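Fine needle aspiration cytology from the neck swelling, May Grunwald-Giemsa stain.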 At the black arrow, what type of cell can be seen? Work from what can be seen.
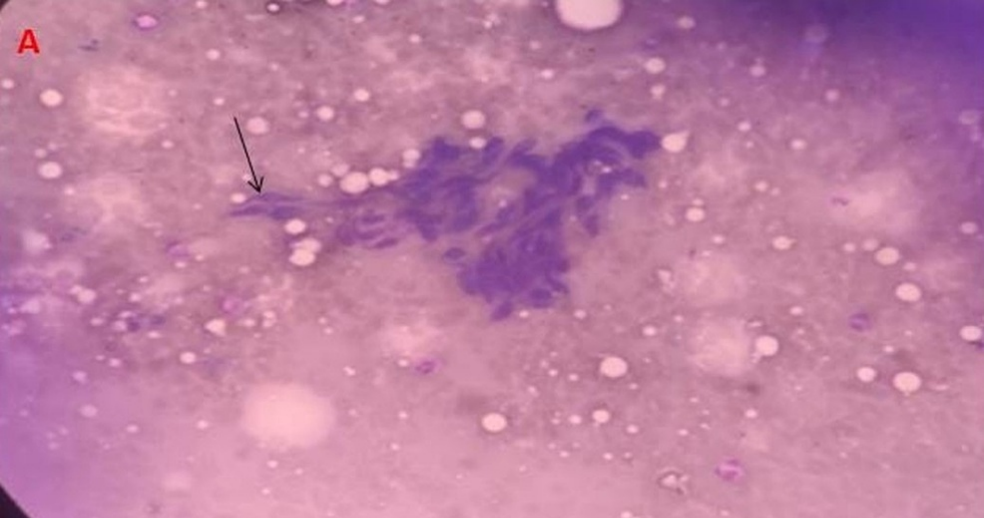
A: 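Spindle-shaped cells. The arrow points to the edge of a dark purple cluster of cells. The cluster lies on a pale pink-lilac background with many round clear droplets.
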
